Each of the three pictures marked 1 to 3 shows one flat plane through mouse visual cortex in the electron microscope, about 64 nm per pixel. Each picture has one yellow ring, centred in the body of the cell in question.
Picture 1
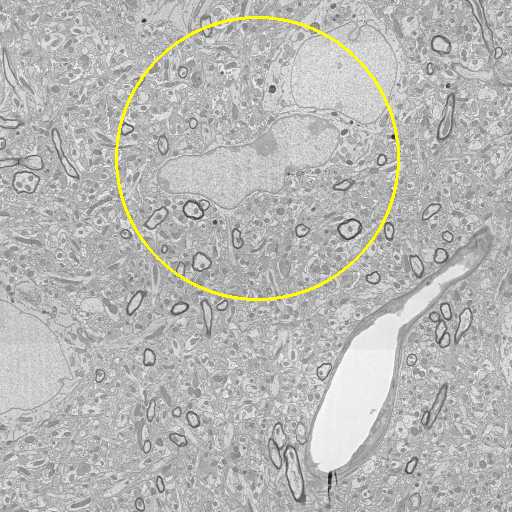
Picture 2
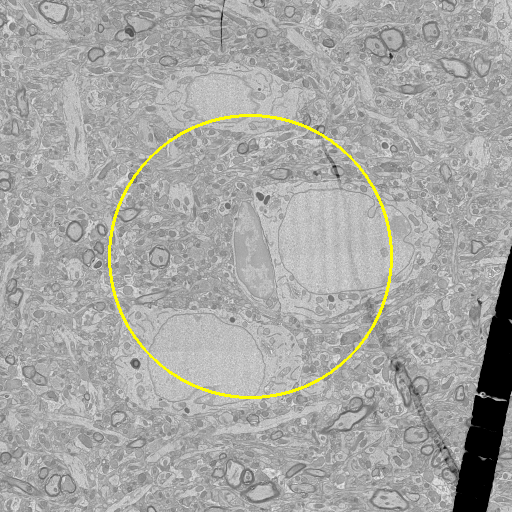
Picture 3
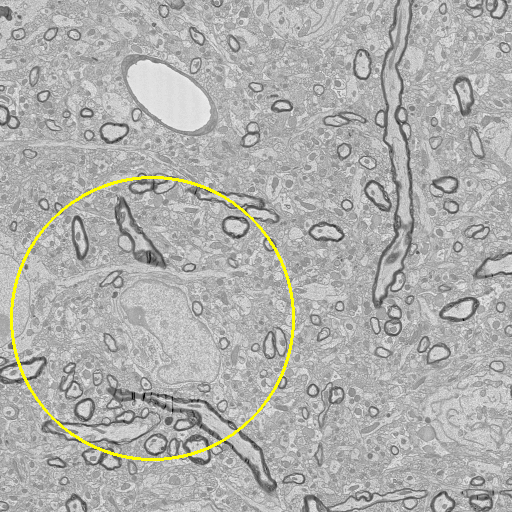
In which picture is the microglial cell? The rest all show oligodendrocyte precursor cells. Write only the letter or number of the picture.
2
